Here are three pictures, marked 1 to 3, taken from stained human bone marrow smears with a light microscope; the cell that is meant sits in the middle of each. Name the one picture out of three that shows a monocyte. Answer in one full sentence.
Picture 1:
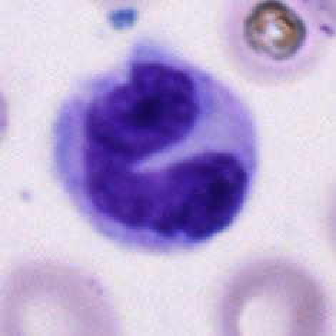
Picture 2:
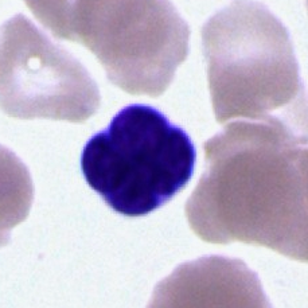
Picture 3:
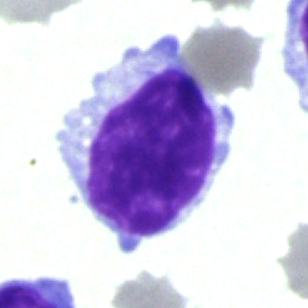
Picture 1 is the one that shows the monocyte.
